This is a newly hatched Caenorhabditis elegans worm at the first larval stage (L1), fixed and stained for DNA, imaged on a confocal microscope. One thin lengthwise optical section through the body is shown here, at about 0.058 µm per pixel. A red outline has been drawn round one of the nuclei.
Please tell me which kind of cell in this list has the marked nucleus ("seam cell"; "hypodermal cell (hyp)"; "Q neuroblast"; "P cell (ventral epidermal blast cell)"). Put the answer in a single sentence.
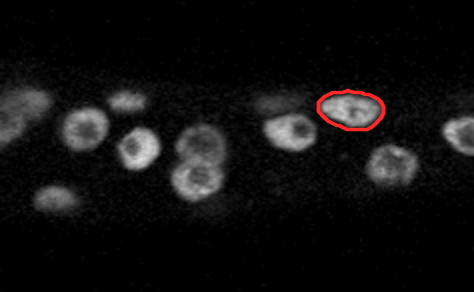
This nucleus is from a P cell (ventral epidermal blast cell).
